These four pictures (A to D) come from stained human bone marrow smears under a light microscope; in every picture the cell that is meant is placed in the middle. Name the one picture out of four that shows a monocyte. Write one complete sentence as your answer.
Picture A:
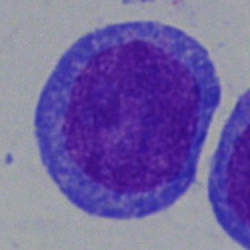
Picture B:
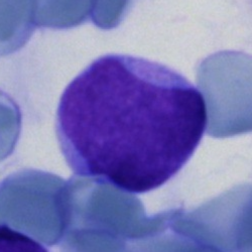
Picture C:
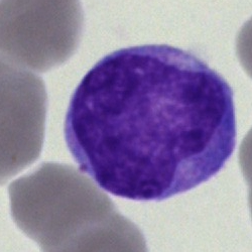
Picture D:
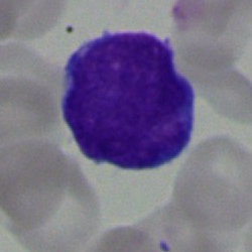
Picture C shows the monocyte.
